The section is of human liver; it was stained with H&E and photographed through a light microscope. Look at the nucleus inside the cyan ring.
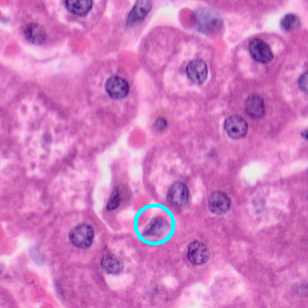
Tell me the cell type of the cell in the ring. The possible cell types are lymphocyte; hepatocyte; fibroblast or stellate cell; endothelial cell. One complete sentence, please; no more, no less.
In the tissue under study, the cell in the ring is an endothelial cell.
